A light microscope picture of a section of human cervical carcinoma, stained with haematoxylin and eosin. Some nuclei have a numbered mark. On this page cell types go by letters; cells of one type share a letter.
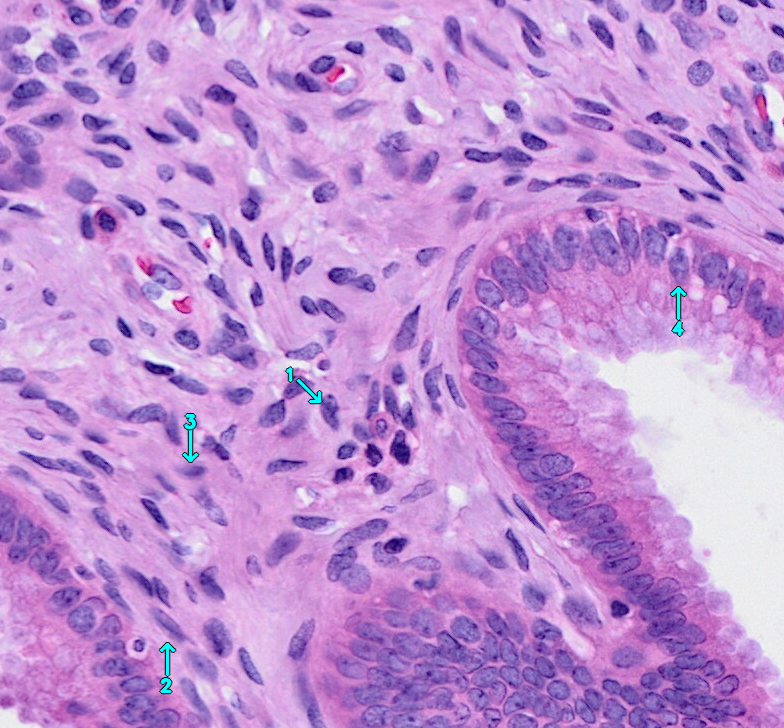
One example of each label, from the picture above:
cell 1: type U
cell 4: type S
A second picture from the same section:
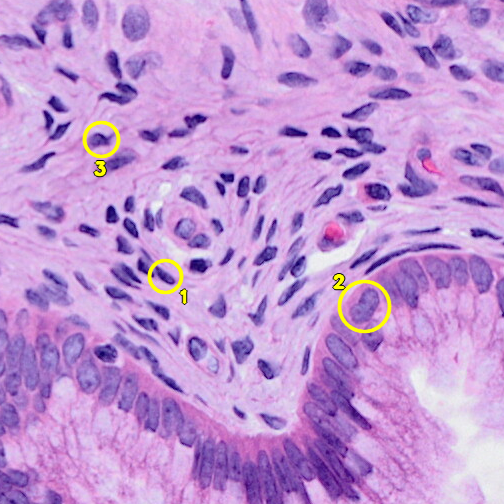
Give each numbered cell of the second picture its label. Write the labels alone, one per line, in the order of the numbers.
type U
type S
type U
